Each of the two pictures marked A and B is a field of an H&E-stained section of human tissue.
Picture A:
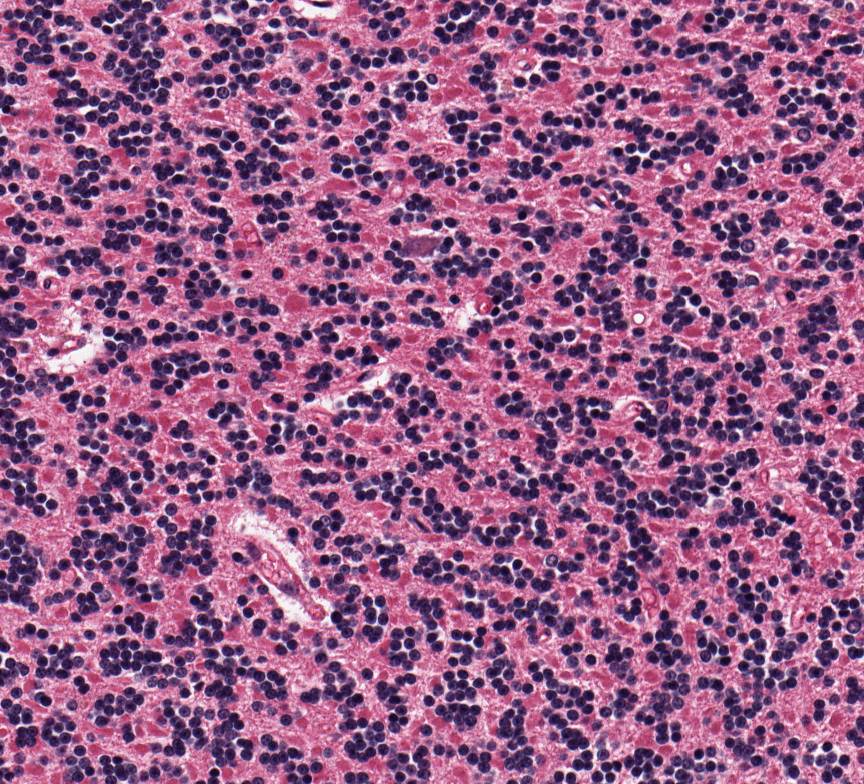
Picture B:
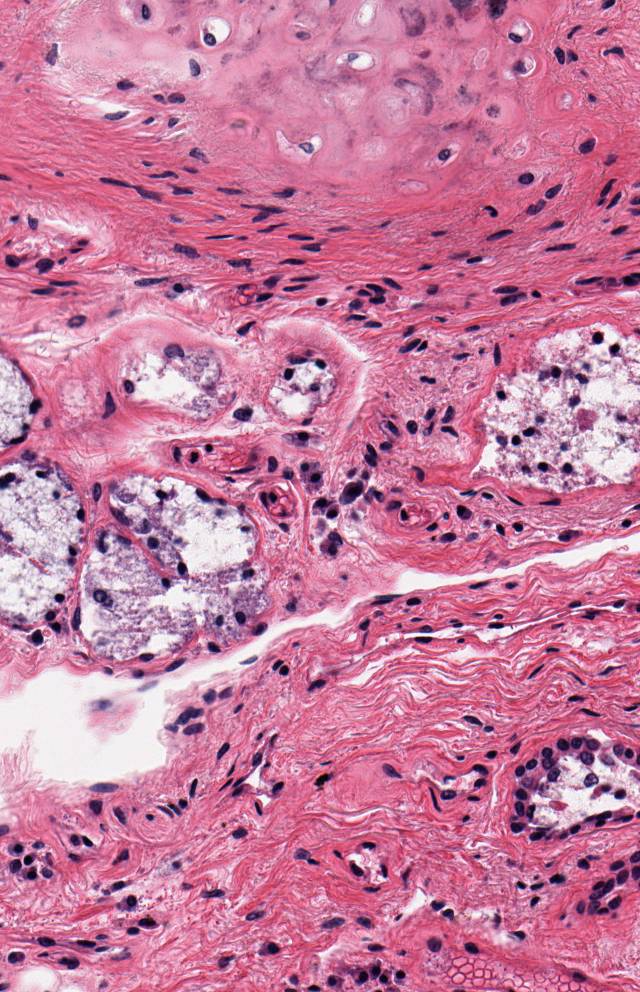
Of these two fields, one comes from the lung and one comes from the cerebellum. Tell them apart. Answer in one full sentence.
Picture A comes from the cerebellum and picture B comes from the lung.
